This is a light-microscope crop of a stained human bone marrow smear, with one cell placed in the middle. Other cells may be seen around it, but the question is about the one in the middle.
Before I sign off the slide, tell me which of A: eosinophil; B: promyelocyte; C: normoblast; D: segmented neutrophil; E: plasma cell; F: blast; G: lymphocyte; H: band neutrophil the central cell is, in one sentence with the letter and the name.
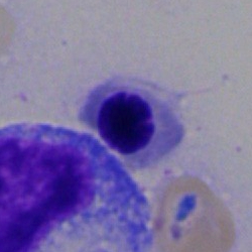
Option C gets it right: the cell in the middle is a normoblast.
